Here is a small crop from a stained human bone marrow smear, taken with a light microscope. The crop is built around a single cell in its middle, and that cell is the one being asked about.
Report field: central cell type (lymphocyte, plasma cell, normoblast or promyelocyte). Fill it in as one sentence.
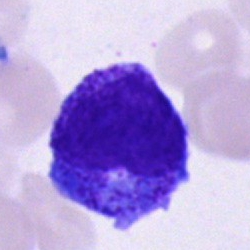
The cell at the middle of the frame should be recorded as a promyelocyte.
